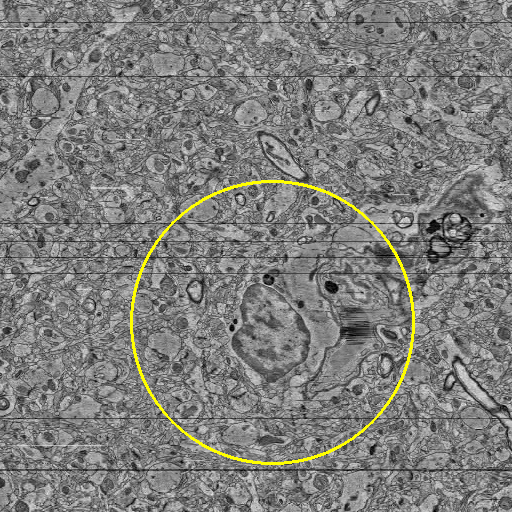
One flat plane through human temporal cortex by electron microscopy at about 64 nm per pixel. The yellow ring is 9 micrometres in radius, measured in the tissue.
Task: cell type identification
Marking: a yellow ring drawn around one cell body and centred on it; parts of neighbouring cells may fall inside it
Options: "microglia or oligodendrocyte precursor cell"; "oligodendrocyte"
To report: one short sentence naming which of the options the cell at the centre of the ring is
The cell at the centre of the ring is a microglial cell or oligodendrocyte precursor cell.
